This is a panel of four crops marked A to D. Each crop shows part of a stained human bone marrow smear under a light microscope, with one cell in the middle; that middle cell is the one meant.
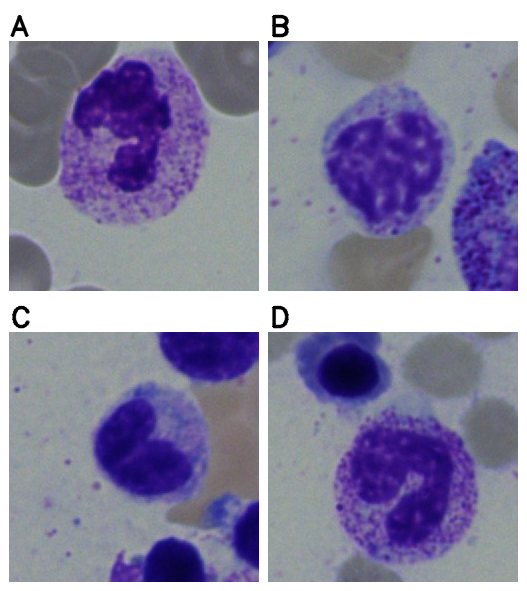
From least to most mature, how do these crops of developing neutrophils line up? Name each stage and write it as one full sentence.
The order of maturity, lowest to highest, is crop B (a myelocyte), crop C (a metamyelocyte), crop D (a band neutrophil) and crop A (a segmented neutrophil).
